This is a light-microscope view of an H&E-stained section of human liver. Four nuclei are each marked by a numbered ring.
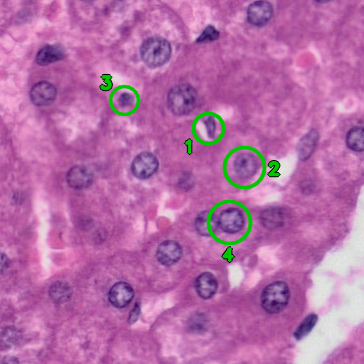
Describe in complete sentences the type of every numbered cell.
Cell 1 is an endothelial cell. Cells 2 and 4 are hepatocytes. Cell 3 is a lymphocyte.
